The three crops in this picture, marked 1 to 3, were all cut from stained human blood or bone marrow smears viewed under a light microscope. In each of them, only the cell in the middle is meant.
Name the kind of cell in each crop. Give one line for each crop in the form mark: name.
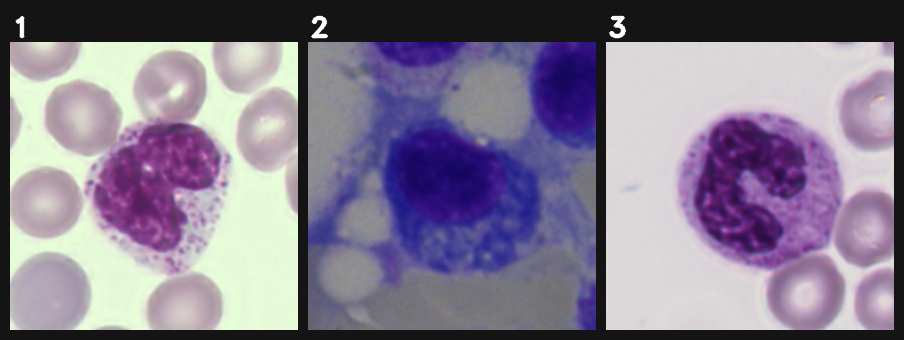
1: band neutrophil
2: plasma cell
3: band neutrophil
